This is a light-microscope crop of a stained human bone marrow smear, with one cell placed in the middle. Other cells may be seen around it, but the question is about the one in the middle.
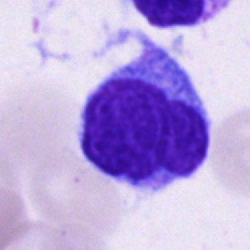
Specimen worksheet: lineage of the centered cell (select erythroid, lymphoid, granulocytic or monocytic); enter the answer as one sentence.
In this crop, the central cell belongs to the monocytic lineage.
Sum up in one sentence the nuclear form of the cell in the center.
You can count two or more lobes in this nucleus.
